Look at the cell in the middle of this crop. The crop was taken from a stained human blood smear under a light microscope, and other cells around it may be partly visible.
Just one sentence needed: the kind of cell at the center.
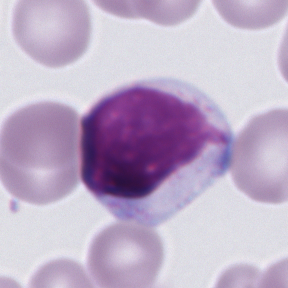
For this crop, the cell in the middle is a large granular lymphocyte.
